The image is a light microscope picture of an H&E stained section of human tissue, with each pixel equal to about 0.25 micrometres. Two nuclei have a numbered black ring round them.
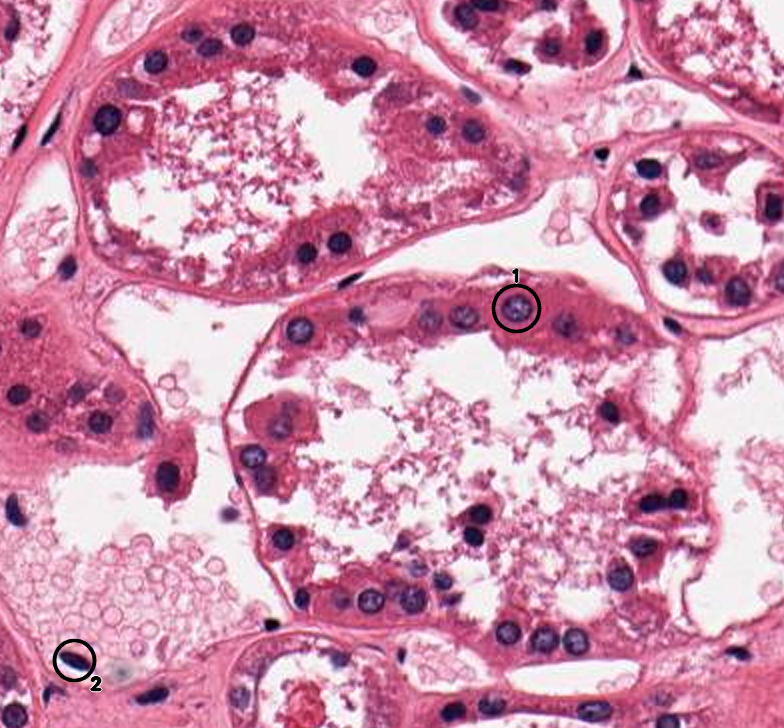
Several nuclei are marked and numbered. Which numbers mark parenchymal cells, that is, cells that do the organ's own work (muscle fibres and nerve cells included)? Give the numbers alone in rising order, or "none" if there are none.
1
